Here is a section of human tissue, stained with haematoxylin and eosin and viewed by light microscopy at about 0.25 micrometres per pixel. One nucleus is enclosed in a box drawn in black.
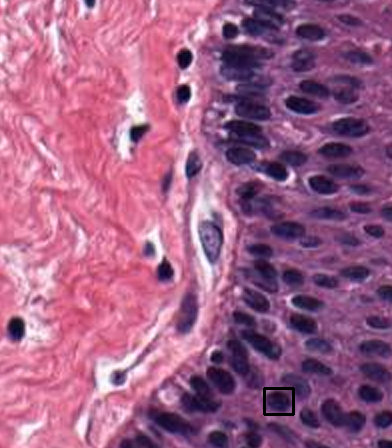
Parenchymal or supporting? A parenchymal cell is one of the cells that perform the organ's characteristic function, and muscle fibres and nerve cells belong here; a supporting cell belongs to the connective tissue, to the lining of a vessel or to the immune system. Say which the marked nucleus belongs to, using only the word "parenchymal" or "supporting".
parenchymal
